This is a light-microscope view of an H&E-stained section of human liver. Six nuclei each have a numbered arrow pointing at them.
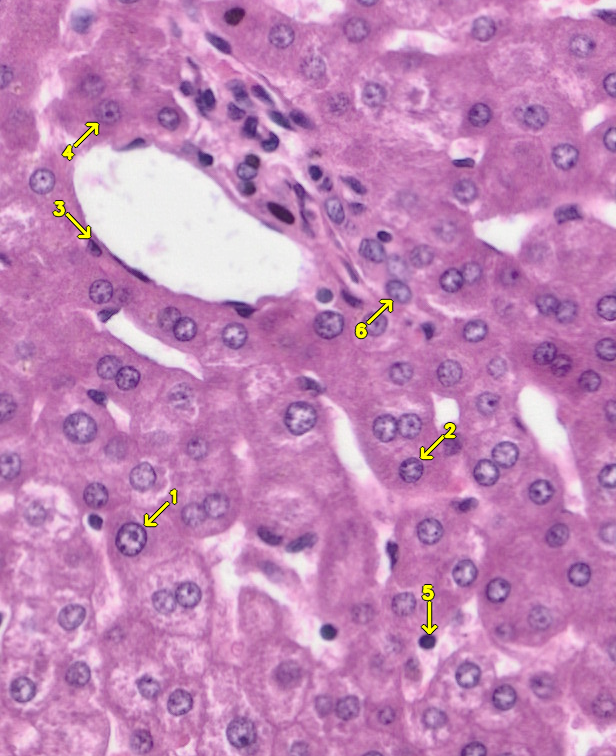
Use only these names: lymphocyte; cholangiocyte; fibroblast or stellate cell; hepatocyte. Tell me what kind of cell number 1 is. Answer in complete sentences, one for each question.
The numbered cell 1 in this field is a hepatocyte.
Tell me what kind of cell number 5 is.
The nucleus marked 5 is the nucleus of a lymphocyte.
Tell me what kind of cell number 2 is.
Recognised here as a hepatocyte is the cell numbered 2.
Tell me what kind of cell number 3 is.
The marked cell with the number 3 is recognised as a fibroblast or stellate cell.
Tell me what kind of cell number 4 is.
Classified as a hepatocyte is the cell with the number 4.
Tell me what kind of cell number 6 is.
Here, the cell given the number 6 is a cholangiocyte.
